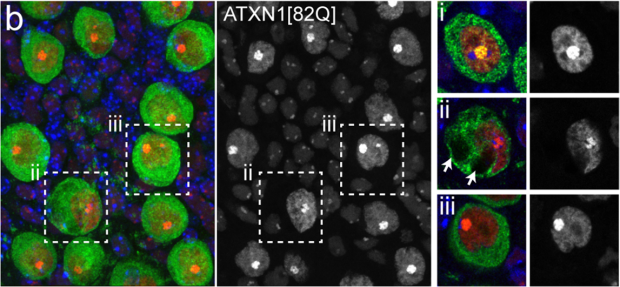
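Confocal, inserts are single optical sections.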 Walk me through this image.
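This is again a face-on view of the Purkinje cell layer, with large green Purkinje cell bodies surrounded by small blue nuclei of other cells. In one enlarged cell the green cytoplasm is interrupted by clear round holes, large vacuoles marked by arrows.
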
